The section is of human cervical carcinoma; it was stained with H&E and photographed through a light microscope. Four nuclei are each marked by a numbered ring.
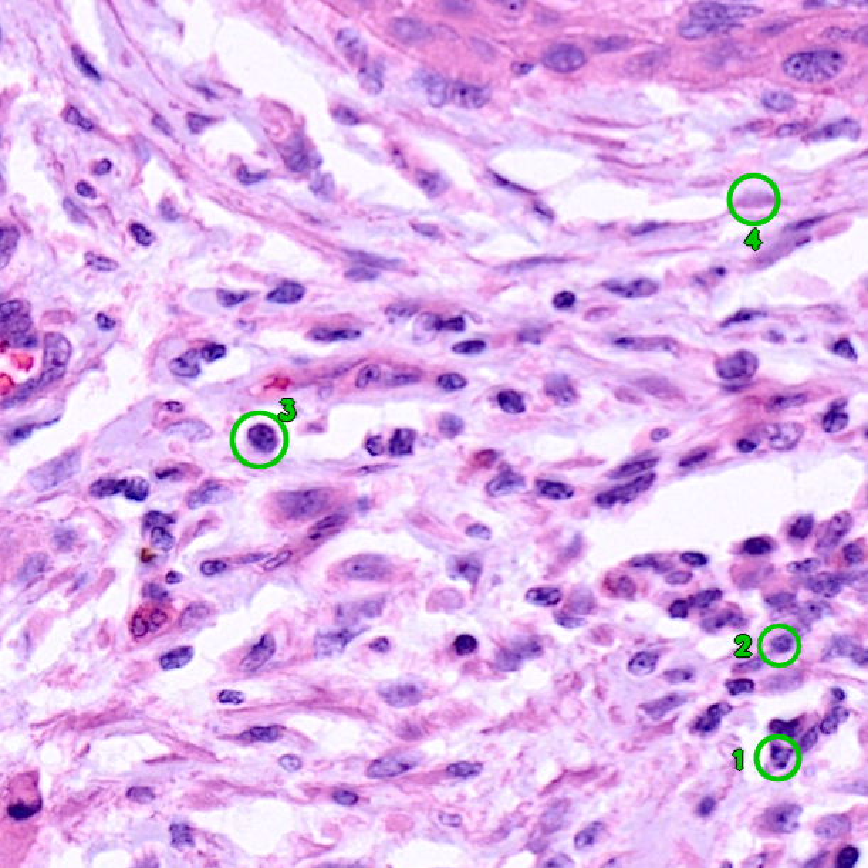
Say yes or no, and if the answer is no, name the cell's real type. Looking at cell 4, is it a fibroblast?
Yes.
